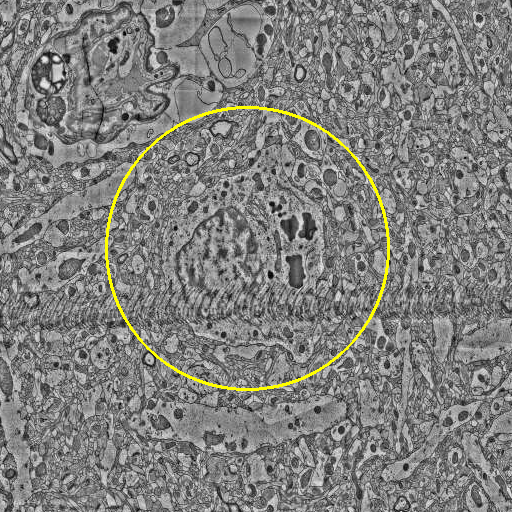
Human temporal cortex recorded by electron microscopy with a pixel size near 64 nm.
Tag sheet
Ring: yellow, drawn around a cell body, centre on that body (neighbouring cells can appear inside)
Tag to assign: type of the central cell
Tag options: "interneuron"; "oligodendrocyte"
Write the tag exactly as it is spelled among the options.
interneuron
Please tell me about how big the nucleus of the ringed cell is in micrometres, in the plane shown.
The nucleus has a long axis of about 7 micrometres and a short axis of about 5 micrometres in this plane.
